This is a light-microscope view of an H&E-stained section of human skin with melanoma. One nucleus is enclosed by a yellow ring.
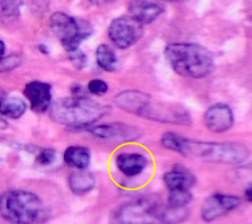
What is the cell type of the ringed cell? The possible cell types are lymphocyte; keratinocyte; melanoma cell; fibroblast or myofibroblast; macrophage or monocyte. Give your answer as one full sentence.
Within the stained tissue, the ringed cell is a lymphocyte.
